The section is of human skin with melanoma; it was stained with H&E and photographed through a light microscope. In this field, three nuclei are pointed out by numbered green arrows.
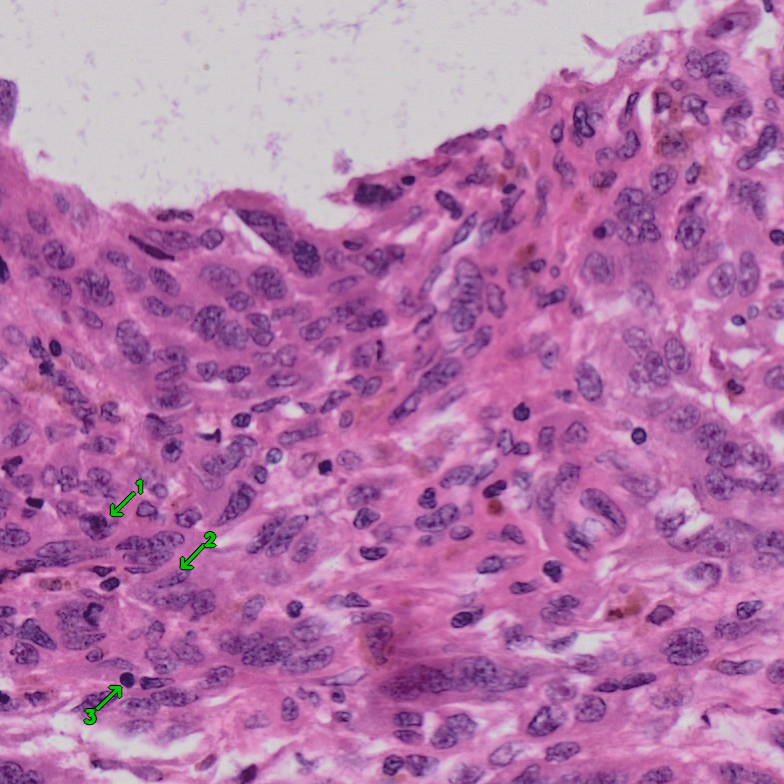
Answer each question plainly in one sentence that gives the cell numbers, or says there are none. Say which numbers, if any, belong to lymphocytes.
Just one of the numbered cells is a lymphocyte, namely number 3.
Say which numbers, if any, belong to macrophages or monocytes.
Honestly, none of the numbered cells are macrophages or monocytes.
